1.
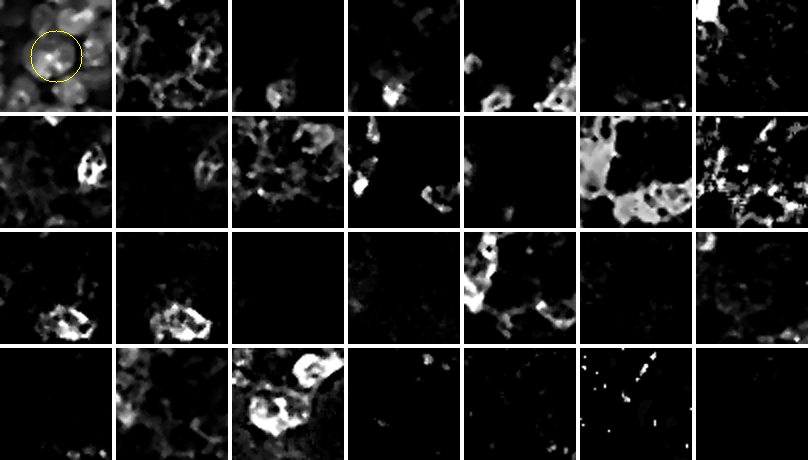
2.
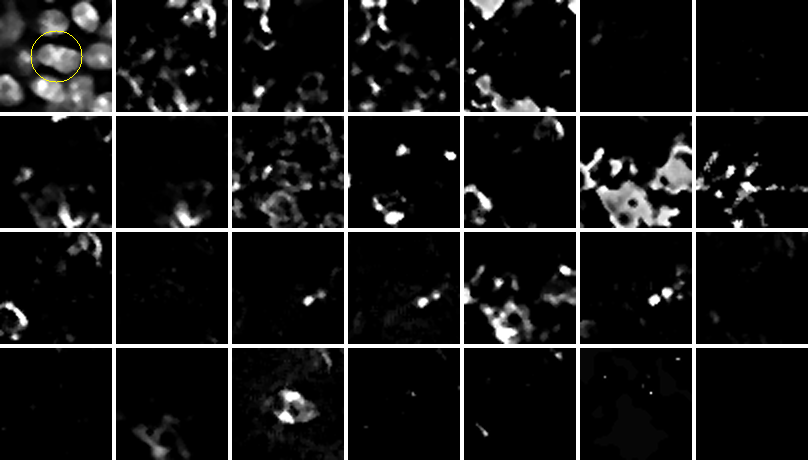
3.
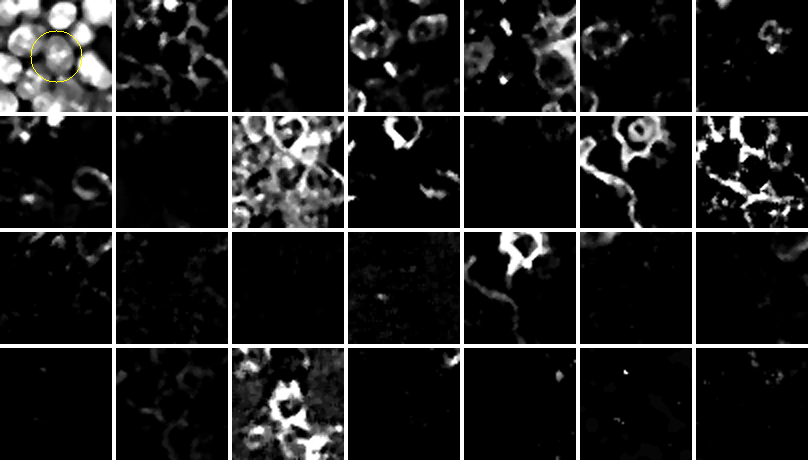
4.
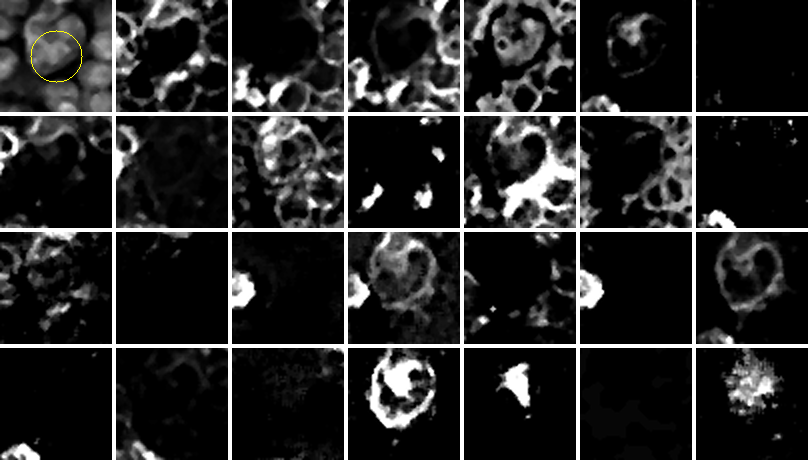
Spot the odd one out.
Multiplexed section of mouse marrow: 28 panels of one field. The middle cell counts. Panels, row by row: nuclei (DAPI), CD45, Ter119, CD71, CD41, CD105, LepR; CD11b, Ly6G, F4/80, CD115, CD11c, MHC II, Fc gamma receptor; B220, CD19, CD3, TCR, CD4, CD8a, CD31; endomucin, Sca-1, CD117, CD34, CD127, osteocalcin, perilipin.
Picture 4 (a common lymphoid progenitor among granulocyte-monocyte progenitors).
